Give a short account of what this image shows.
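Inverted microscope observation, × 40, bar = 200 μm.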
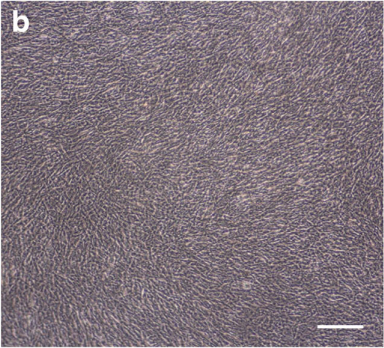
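The cells are packed tightly side by side and cover the whole field without gaps. They run in parallel streams that curve and cross one another, giving an intertwined, swirling arrangement.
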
